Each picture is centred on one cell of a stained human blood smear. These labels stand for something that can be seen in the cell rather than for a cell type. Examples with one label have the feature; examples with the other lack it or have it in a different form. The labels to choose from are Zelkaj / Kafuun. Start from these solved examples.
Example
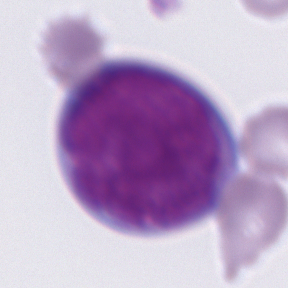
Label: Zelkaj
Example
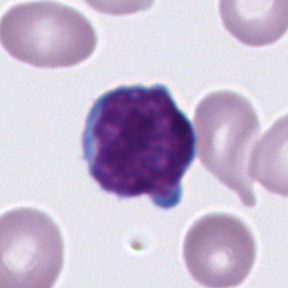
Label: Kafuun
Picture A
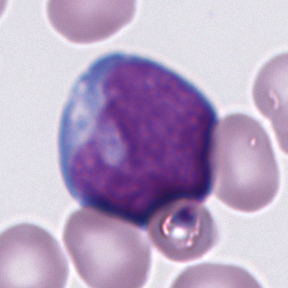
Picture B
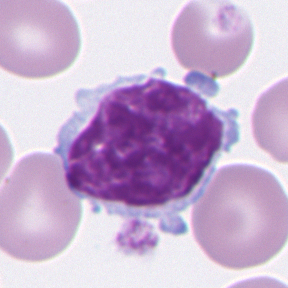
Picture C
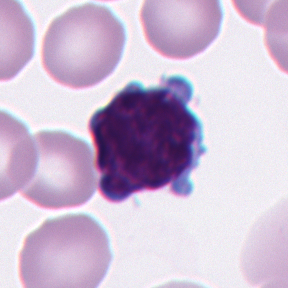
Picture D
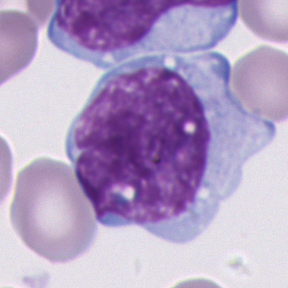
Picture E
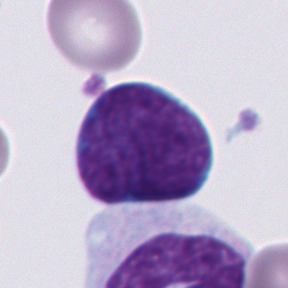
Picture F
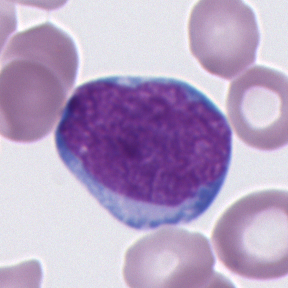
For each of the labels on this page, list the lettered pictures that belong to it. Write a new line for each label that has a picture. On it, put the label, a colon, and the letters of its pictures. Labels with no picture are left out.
Zelkaj: A, E, F
Kafuun: B, C, D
